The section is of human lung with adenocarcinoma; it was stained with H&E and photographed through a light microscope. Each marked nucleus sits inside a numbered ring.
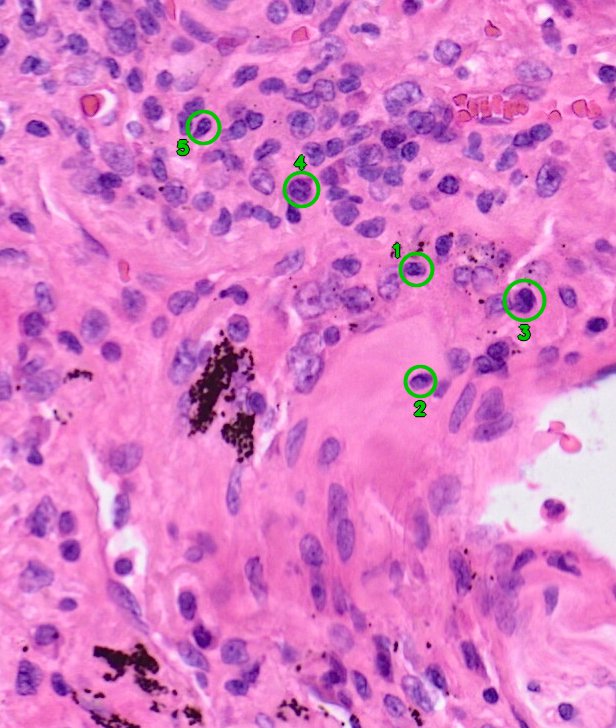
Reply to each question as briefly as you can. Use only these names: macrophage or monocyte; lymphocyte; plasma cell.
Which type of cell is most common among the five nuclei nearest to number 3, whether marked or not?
macrophage or monocyte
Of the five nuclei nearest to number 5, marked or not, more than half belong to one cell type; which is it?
lymphocyte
